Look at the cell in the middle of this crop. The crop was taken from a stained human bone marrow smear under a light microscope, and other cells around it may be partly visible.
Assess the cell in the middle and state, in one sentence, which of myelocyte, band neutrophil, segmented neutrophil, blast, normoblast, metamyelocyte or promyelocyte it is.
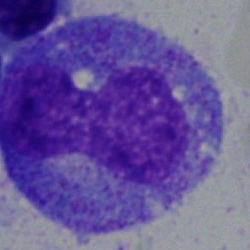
Classified as a promyelocyte is the cell in the middle of this crop.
